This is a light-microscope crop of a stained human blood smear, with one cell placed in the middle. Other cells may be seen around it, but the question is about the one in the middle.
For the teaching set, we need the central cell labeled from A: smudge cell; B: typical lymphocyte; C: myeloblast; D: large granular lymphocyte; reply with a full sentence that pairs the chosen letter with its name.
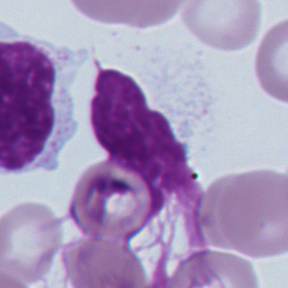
Option A is correct, naming the cell in the middle as a smudge cell.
